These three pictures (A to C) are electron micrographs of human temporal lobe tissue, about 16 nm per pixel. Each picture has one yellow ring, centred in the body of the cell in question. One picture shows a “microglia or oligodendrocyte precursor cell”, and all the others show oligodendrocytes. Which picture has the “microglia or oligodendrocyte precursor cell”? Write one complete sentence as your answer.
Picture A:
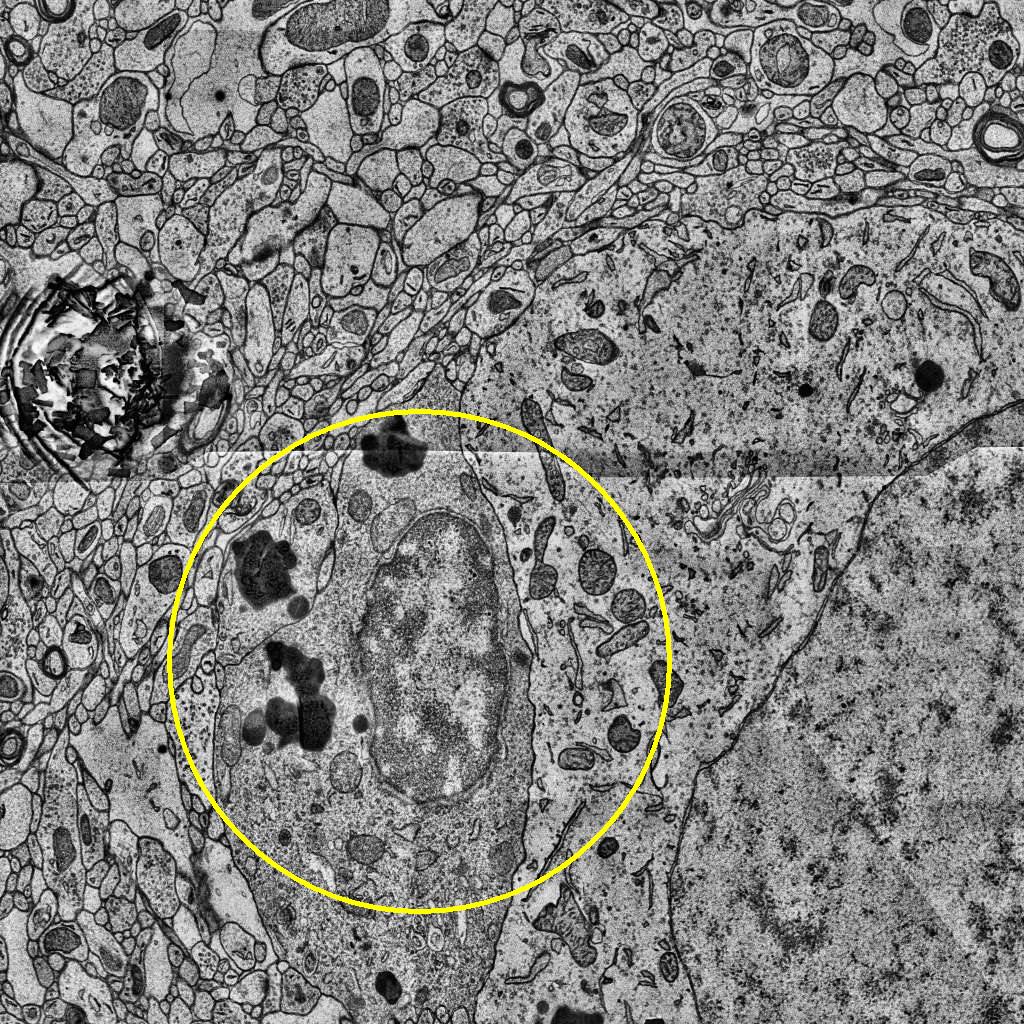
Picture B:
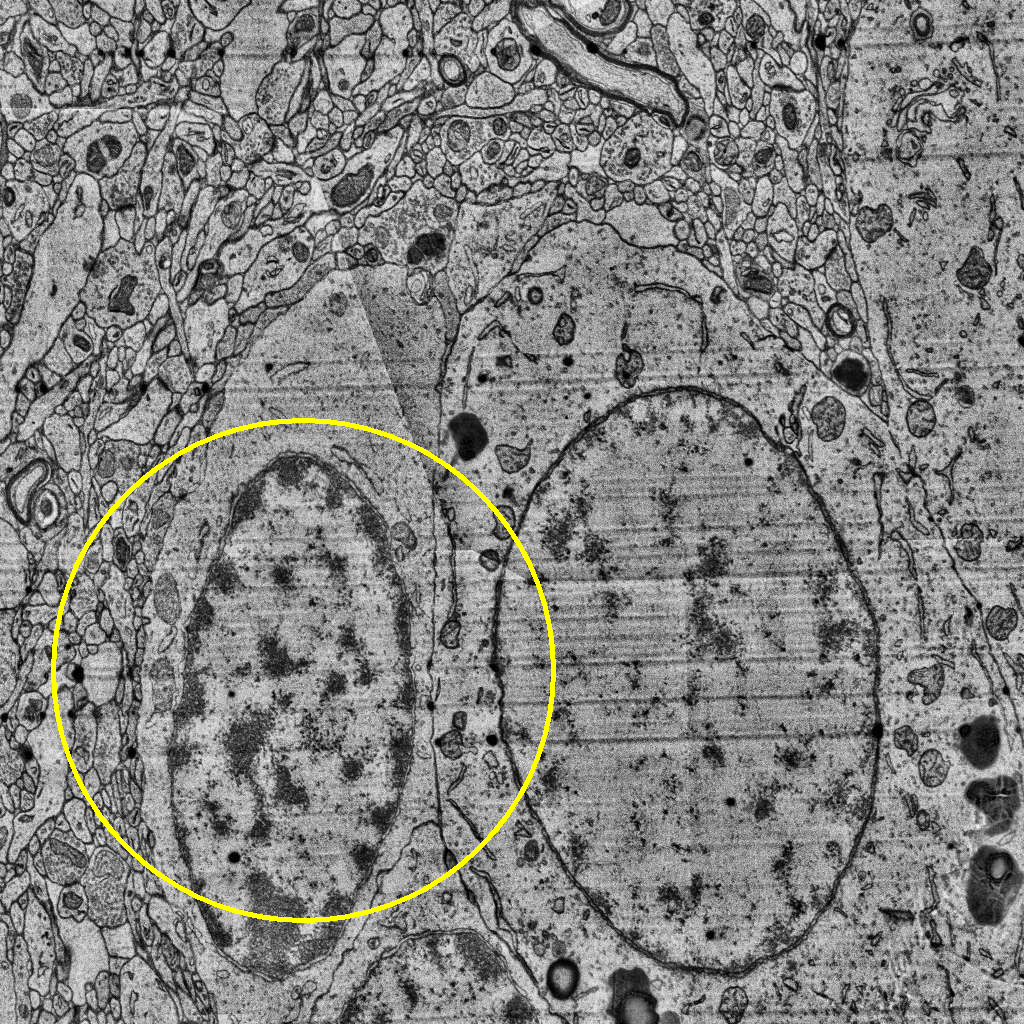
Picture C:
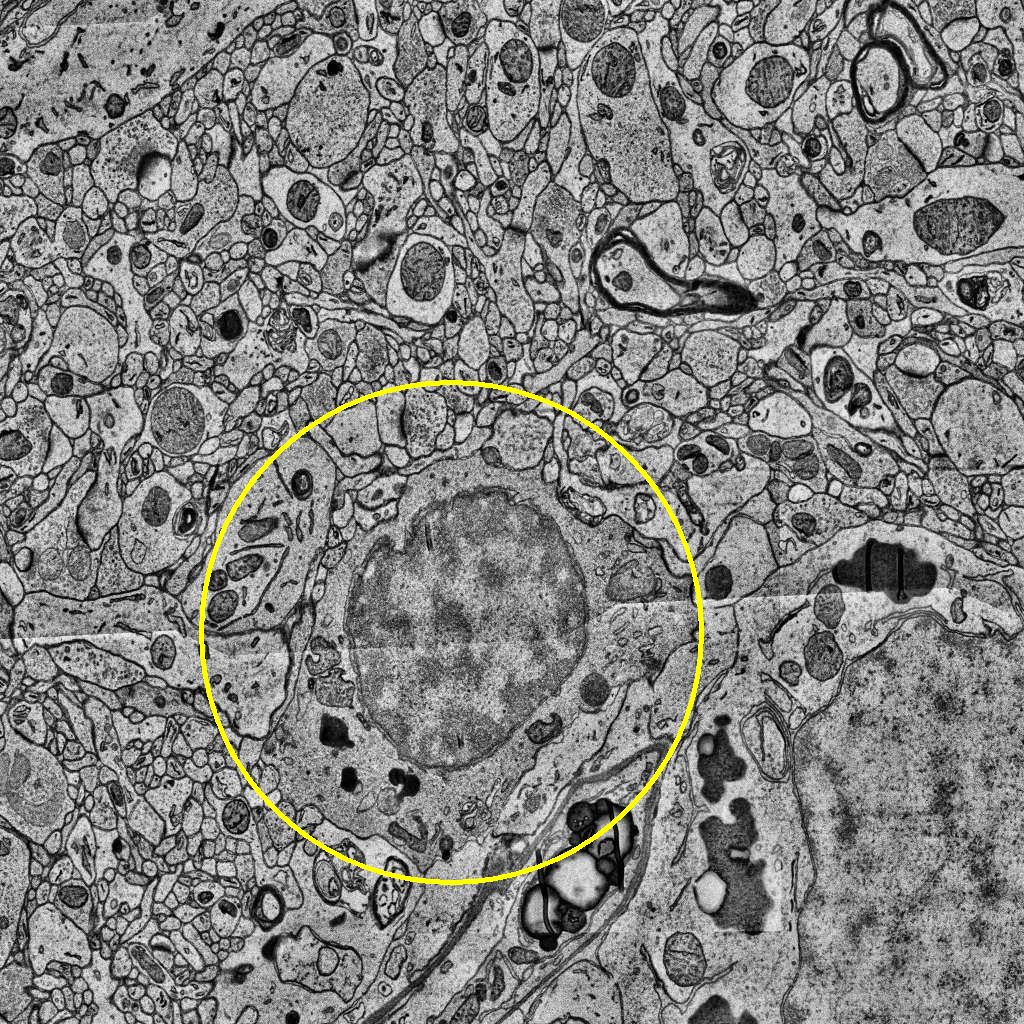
The picture with the “microglia or oligodendrocyte precursor cell” is B.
